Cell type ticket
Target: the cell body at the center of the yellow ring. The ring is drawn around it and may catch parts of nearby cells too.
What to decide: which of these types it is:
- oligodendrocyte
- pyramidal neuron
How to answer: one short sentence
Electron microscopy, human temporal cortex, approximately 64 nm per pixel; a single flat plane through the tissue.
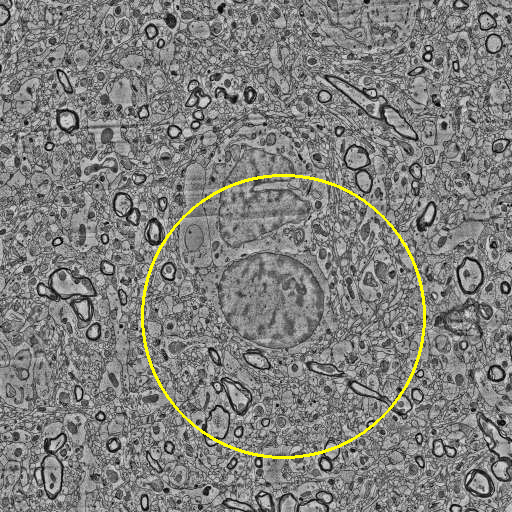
The cell at the center of the ring is an oligodendrocyte.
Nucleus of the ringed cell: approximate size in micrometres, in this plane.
The nucleus is approximately 7 micrometers long by 6 micrometers wide in this plane.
